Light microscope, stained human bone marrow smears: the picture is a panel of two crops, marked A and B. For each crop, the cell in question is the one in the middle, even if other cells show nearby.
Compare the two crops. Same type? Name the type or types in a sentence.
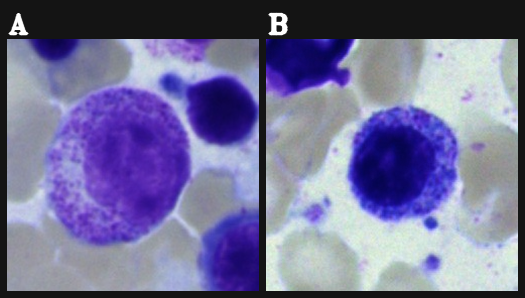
Yes, both crops show myelocytes, and that holds for each one.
